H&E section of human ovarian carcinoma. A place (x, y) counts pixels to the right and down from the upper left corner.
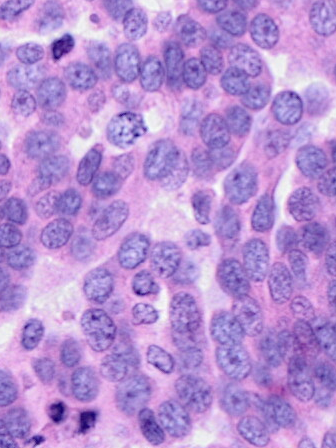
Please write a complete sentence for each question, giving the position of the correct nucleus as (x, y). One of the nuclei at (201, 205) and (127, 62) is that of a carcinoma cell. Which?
The nucleus at (127, 62) belongs to a carcinoma cell, which distinguishes it from the other nucleus.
